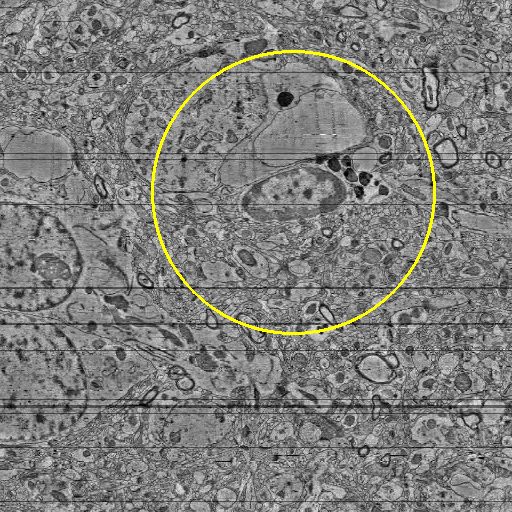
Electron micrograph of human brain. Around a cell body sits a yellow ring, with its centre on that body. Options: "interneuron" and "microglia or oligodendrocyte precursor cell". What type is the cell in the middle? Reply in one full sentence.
The cell sitting at the centre of the yellow ring is a microglial cell or oligodendrocyte precursor cell.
